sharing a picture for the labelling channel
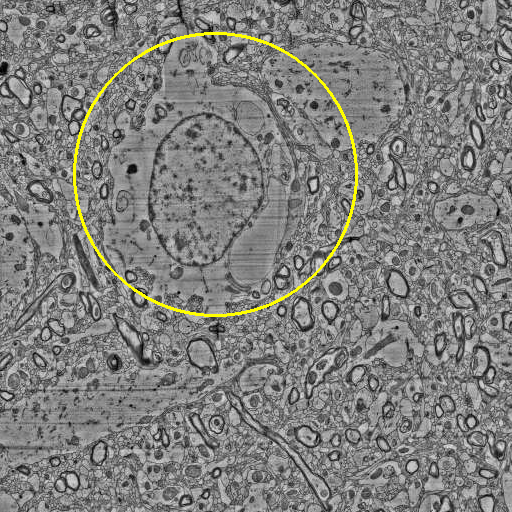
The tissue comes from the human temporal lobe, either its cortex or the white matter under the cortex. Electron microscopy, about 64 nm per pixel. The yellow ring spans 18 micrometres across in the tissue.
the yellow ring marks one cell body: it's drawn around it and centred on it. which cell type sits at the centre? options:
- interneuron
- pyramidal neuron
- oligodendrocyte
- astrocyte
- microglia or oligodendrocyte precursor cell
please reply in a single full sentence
In the picture, the cell at the ring's centre is an astrocyte, going by the list.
